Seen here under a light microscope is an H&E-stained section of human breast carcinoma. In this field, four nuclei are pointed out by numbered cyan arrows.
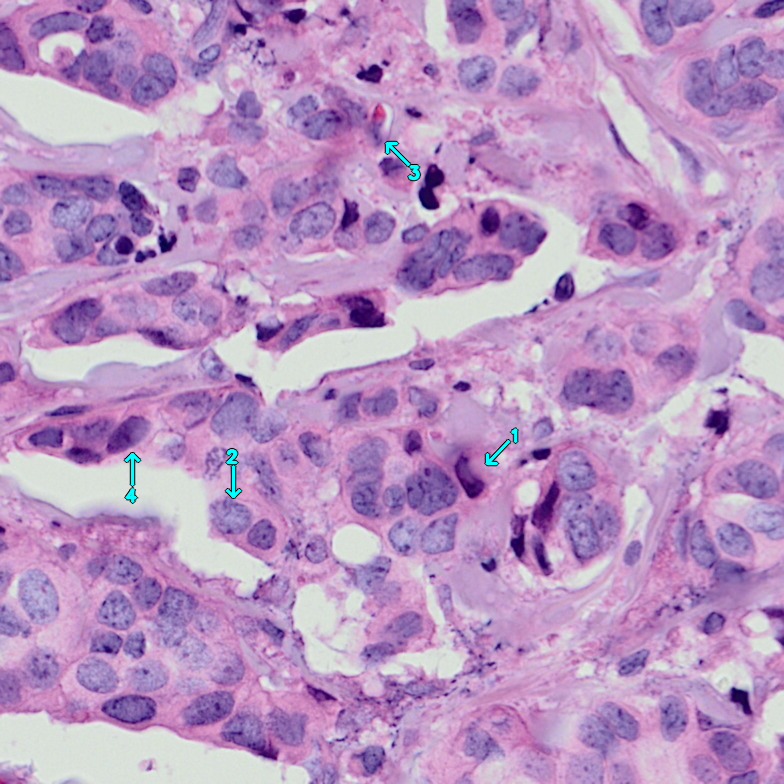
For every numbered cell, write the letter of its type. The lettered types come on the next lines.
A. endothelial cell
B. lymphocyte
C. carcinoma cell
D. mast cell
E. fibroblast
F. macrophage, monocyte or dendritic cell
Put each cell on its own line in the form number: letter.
1: C
2: C
3: A
4: C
